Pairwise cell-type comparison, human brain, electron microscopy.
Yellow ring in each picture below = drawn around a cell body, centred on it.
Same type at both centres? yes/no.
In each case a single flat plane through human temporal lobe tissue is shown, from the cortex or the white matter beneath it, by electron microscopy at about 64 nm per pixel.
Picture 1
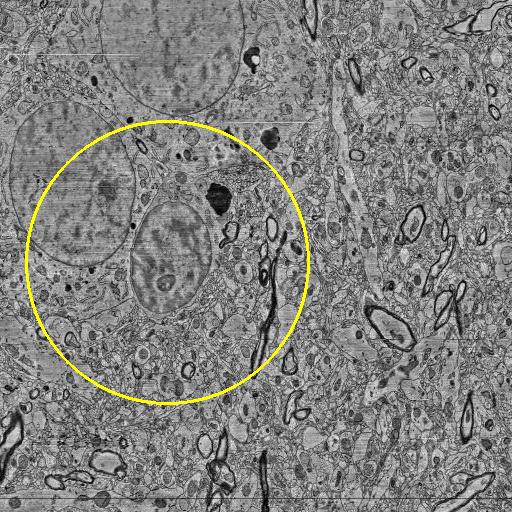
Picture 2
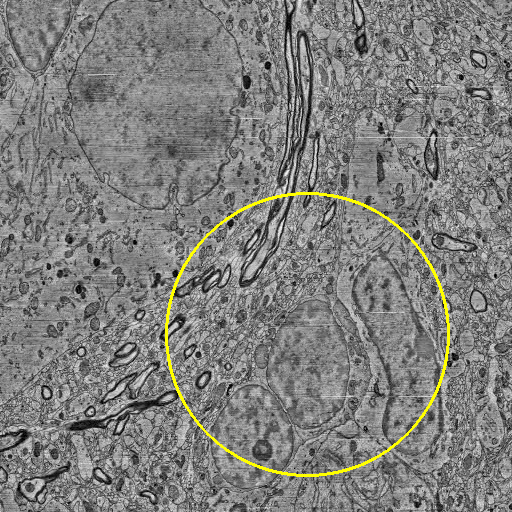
yes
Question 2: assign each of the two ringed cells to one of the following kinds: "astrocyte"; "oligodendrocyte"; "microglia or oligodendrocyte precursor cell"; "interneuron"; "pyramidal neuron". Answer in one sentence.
Each of the two rings is centred on an oligodendrocyte.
